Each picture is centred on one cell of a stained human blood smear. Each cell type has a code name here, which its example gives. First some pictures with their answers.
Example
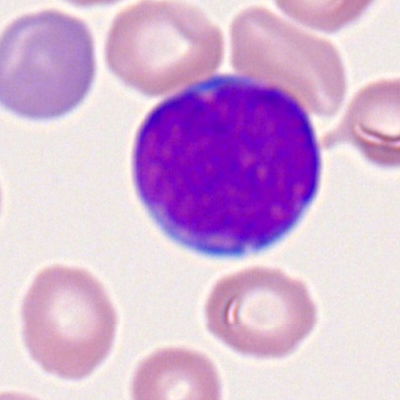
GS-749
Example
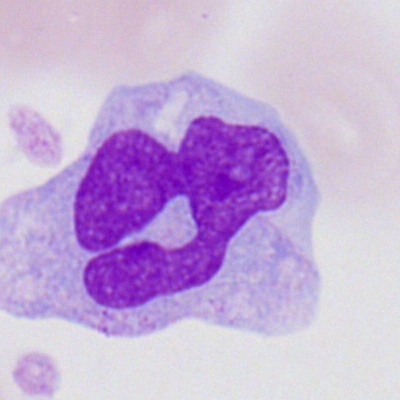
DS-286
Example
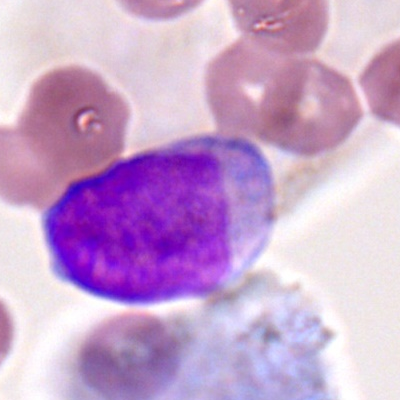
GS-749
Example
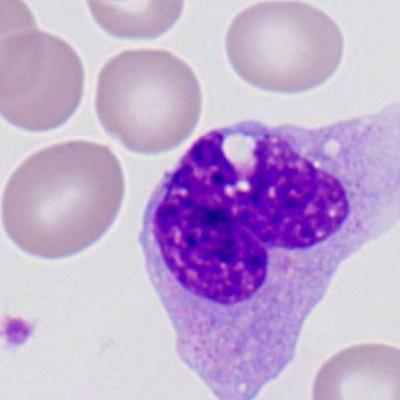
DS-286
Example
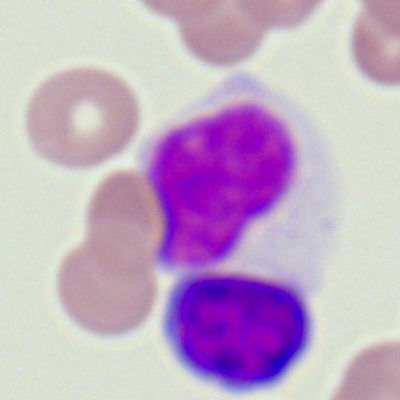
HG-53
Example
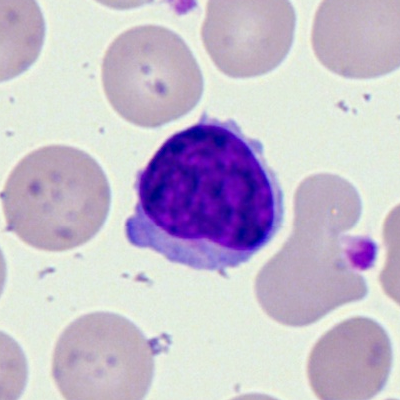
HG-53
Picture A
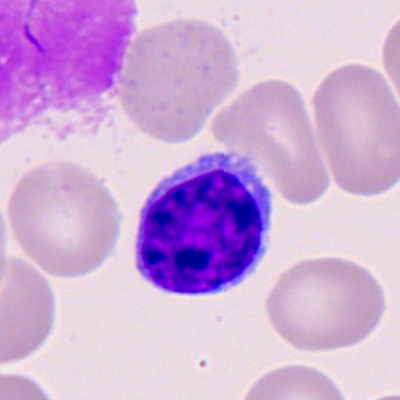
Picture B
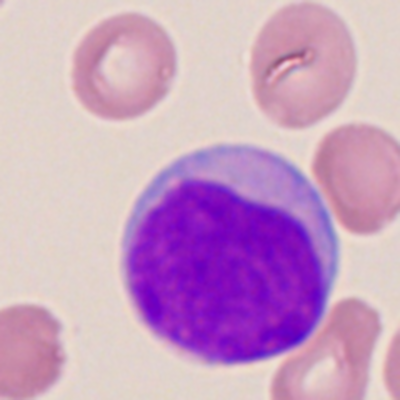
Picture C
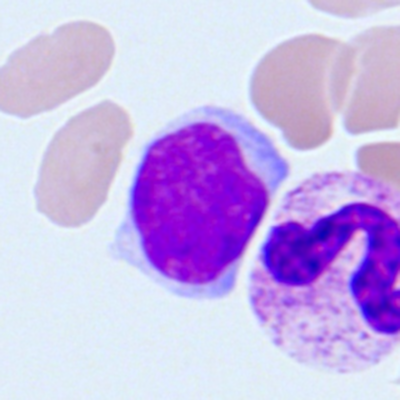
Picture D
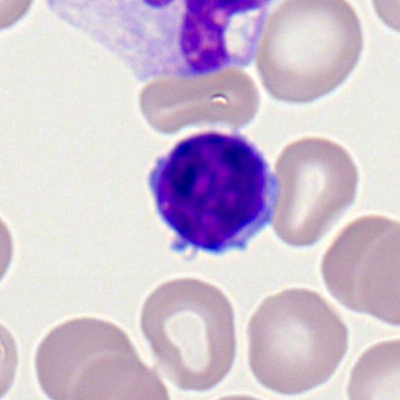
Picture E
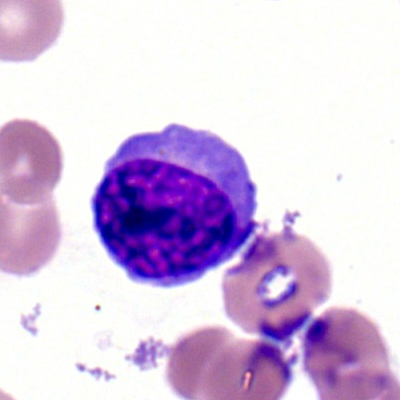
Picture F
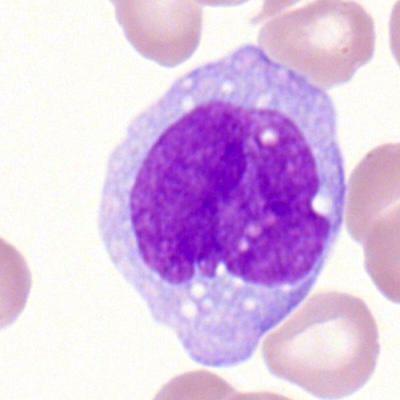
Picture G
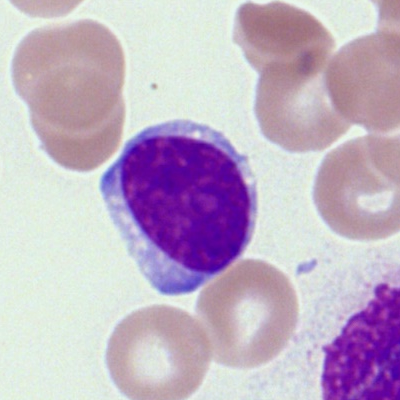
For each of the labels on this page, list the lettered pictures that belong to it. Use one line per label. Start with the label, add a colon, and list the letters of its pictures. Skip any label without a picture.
GS-749: B
DS-286: F
HG-53: A, C, D, E, G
